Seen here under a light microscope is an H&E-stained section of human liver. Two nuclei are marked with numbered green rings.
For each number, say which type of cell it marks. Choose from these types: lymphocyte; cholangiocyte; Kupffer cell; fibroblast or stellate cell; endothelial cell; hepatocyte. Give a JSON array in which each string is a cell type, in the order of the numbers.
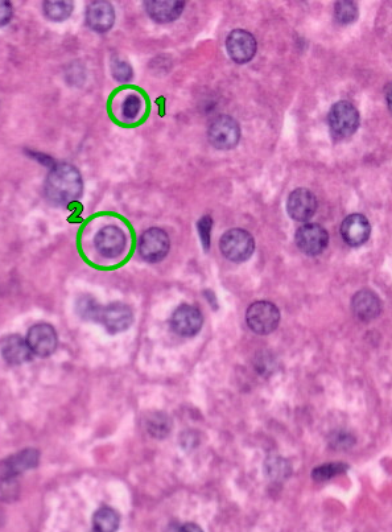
["lymphocyte", "hepatocyte"]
